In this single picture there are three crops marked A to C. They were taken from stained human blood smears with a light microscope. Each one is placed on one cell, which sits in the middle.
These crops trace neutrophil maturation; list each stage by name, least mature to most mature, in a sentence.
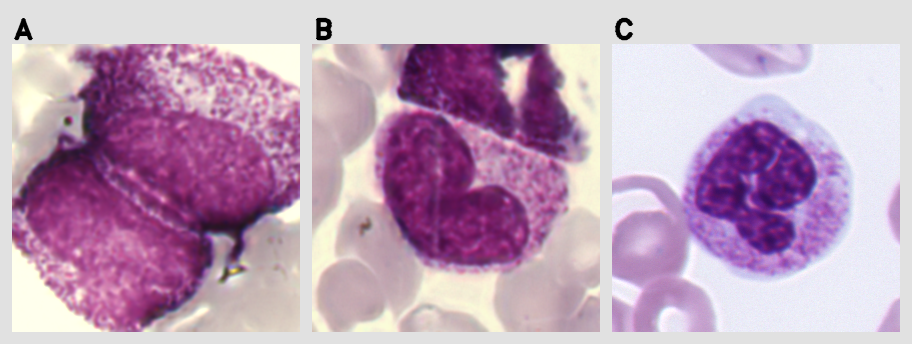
Maturity increases along the sequence crop A (a myelocyte), crop B (a band neutrophil) and crop C (a segmented neutrophil).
